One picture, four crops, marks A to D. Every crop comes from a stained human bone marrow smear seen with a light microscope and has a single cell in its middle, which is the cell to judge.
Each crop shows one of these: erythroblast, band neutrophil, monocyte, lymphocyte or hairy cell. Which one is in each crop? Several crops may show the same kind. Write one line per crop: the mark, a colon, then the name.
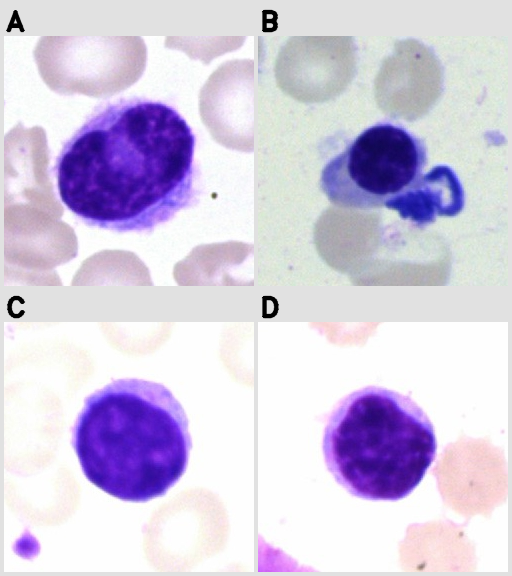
A: hairy cell
B: erythroblast
C: lymphocyte
D: lymphocyte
